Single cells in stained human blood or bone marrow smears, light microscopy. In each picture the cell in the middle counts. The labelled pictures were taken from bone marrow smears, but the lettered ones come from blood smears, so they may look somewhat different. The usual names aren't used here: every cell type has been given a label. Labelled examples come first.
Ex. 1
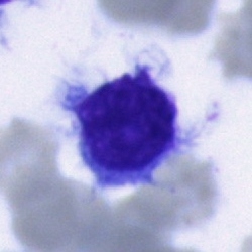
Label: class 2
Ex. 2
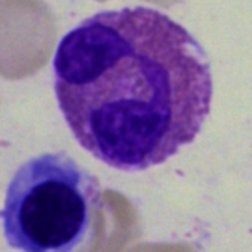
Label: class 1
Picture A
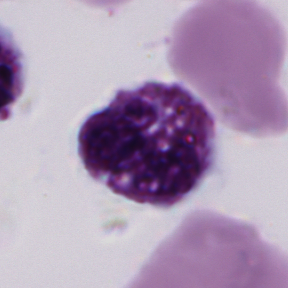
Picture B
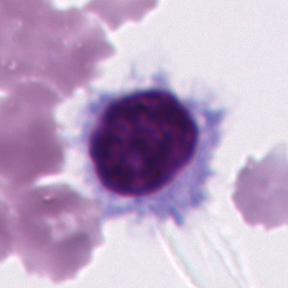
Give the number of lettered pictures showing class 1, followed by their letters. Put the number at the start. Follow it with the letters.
Count: 1 (A)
